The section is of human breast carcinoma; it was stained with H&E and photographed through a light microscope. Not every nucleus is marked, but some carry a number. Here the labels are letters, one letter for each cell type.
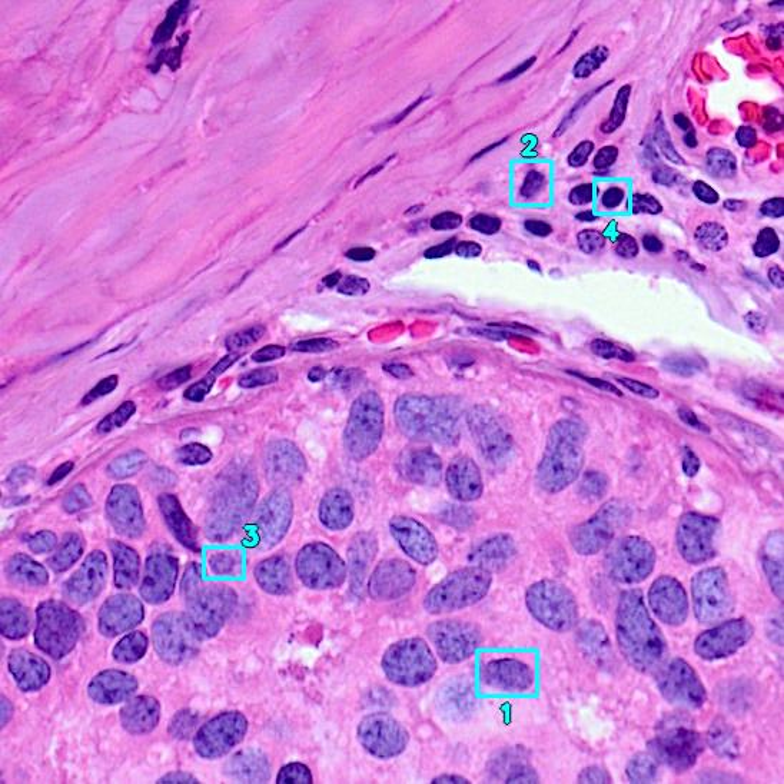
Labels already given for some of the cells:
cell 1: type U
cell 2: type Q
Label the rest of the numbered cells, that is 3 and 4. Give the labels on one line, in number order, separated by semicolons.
type U; type Q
